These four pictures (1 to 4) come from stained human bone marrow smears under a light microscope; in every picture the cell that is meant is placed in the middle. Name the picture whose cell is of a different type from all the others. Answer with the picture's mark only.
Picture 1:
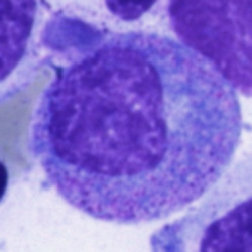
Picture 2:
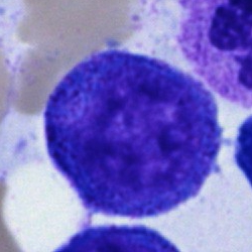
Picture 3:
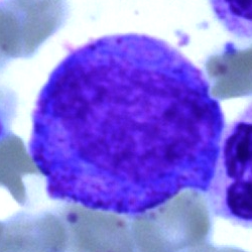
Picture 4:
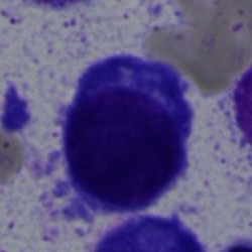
4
